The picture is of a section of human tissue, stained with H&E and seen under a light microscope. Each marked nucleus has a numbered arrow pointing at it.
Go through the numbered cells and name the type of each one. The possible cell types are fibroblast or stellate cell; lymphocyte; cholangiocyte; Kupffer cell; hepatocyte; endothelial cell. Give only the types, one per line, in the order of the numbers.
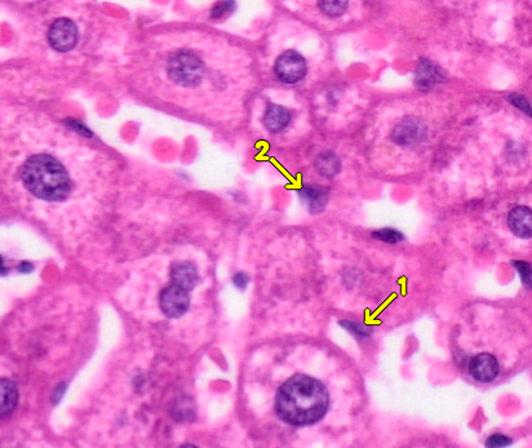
Kupffer cell
endothelial cell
